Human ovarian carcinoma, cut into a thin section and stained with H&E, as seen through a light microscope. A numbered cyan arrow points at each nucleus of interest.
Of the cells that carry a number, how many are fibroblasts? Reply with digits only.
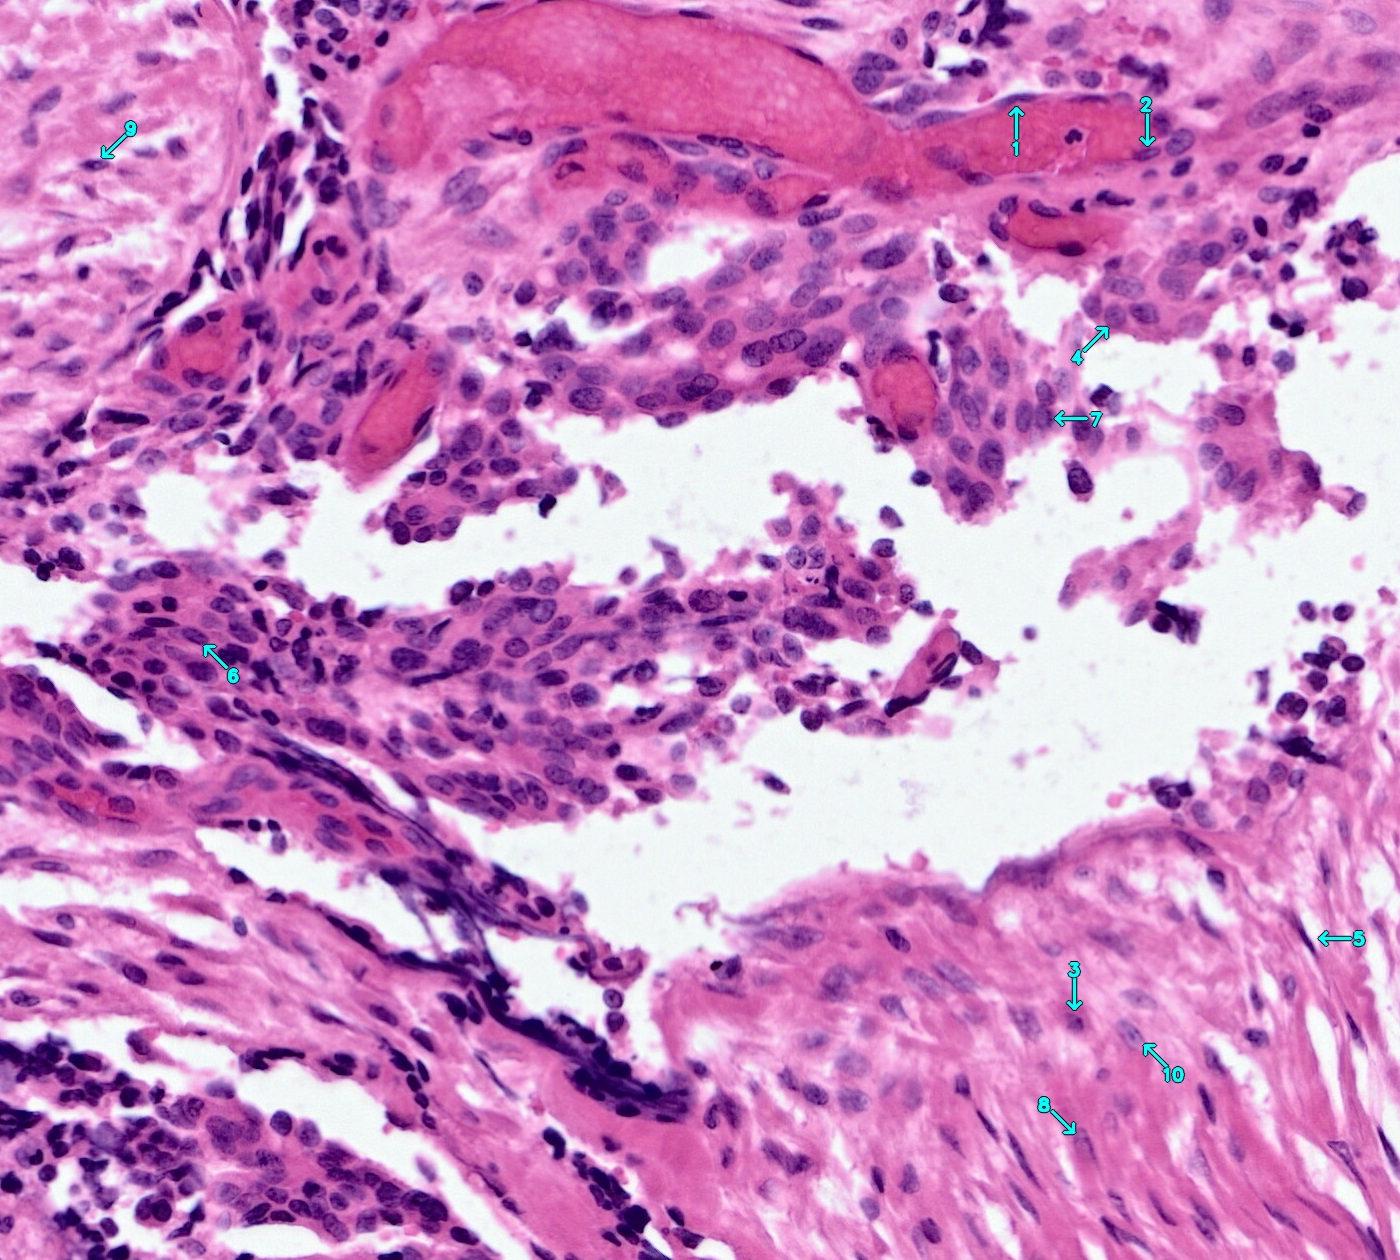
6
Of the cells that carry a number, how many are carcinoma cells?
3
